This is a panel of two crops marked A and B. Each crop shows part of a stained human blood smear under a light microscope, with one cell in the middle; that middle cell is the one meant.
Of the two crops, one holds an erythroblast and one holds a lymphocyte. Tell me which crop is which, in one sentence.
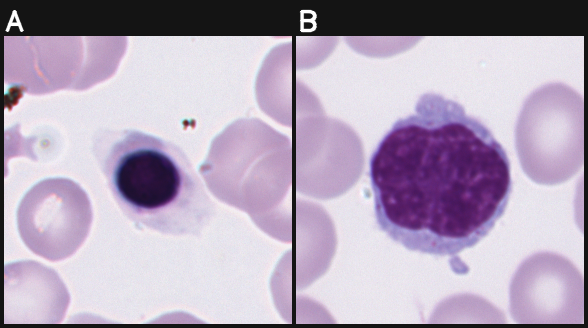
In crop A, an erythroblast is present; in crop B, a lymphocyte is present.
